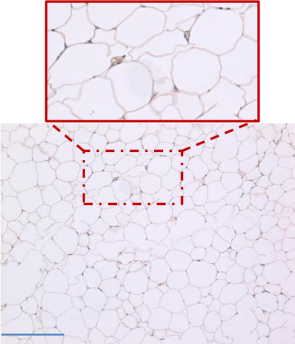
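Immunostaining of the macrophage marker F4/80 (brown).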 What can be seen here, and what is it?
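Adipose tissue made of large, clear, round to polygonal fat cells of varying size. Each fat cell has a thin rim, and together they form a honeycomb pattern. Brown-stained cells between the fat cells are few and faint.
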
